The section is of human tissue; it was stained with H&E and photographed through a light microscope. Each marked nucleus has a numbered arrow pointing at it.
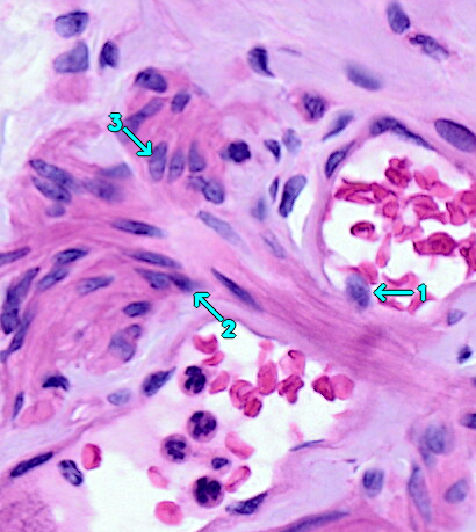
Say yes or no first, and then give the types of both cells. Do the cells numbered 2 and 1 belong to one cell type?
No, with respect, cell 2 is a smooth muscle cell and cell 1 is an endothelial cell.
